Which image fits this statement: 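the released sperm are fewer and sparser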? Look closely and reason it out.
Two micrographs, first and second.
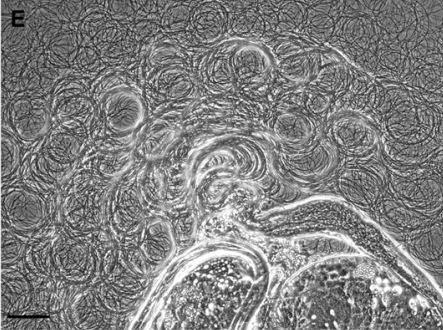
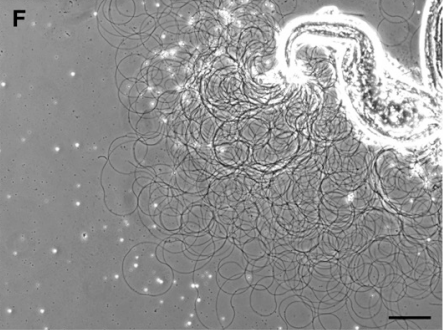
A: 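First image: coiled sperm threads fill the whole field densely. Second image: coiled sperm occupy only part of the field, leaving a large empty area of medium. The answer: the second image.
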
